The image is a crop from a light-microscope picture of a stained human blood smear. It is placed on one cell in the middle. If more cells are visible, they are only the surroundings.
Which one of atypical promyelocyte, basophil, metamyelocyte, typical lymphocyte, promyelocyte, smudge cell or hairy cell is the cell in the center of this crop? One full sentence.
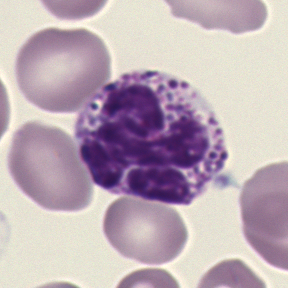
Of the cells in this crop, the central one is a basophil.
